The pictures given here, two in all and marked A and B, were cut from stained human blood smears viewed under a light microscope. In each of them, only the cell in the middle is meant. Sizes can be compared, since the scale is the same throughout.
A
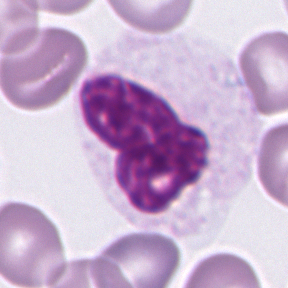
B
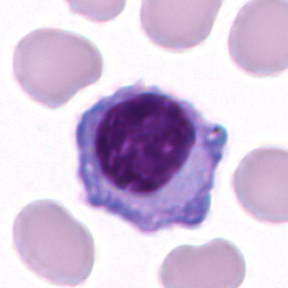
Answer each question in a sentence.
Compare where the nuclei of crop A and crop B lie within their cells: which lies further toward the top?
It is the nucleus in crop B that lies further toward the top of its cell.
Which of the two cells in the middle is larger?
Crop A holds the larger cell; it covers about 1.5 times the area of the cell in crop B.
